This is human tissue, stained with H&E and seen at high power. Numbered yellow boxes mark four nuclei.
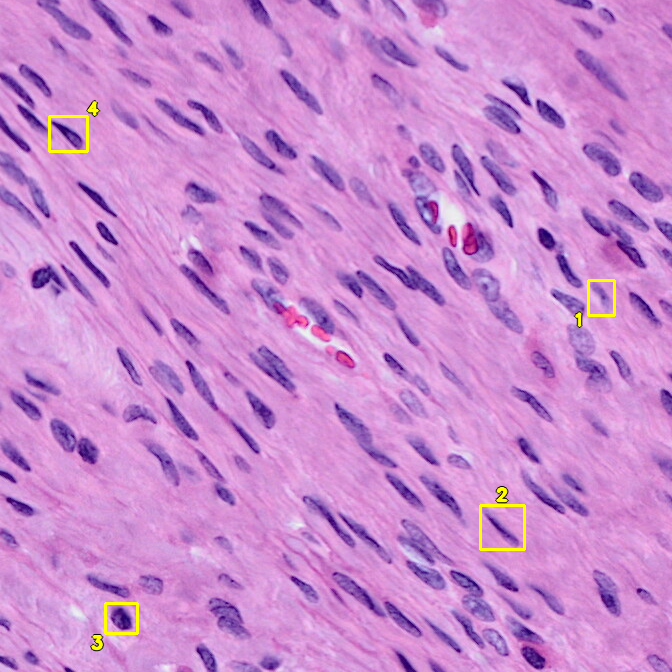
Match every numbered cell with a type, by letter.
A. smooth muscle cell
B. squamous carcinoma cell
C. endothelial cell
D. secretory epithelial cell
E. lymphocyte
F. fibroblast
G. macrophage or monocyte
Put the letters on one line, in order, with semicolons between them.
F; F; E; F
